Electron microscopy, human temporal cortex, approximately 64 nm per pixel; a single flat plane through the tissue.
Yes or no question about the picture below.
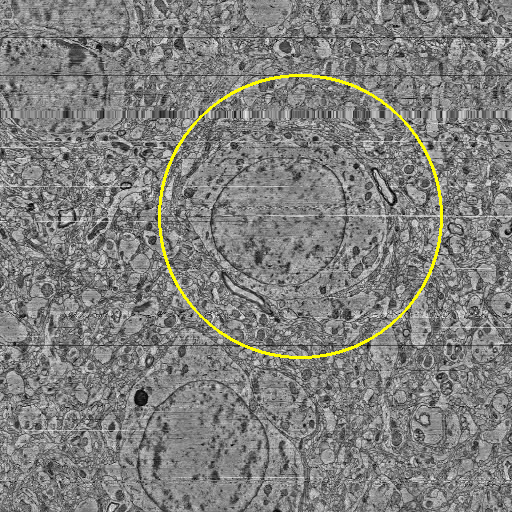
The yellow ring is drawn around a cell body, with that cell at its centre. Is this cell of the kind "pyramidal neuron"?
yes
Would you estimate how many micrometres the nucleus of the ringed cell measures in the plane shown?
In this plane the nucleus measures roughly 9 micrometres across.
